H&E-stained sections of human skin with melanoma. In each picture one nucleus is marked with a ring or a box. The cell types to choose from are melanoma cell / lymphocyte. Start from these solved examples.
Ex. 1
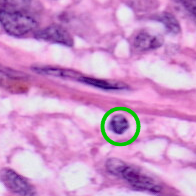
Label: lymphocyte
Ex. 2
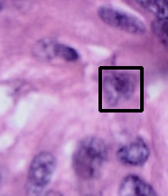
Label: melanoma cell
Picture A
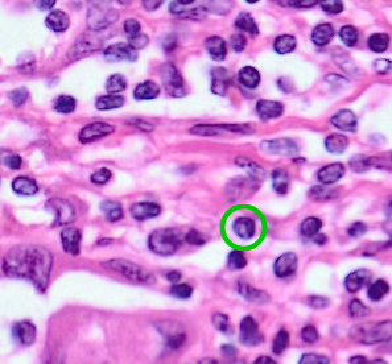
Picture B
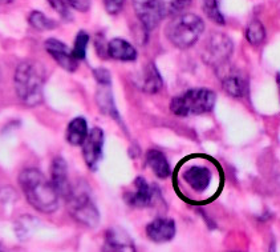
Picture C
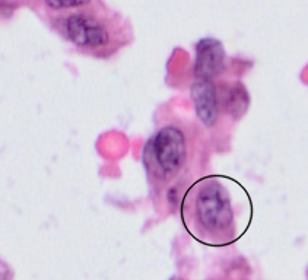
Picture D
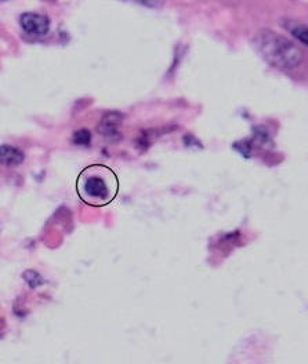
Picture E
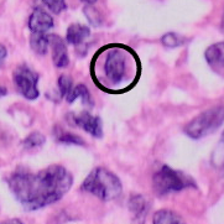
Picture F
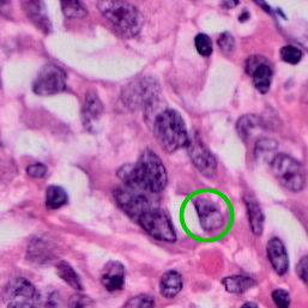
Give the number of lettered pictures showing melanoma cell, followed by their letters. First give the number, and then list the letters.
Count: 3 (C, E, F)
